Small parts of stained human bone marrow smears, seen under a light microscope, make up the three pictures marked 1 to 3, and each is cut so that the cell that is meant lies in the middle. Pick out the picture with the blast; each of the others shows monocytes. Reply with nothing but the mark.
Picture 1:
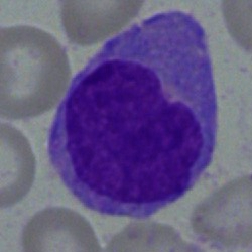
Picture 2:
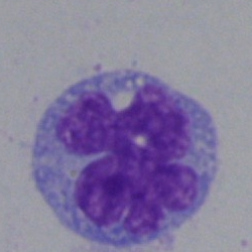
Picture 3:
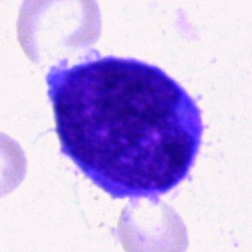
3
